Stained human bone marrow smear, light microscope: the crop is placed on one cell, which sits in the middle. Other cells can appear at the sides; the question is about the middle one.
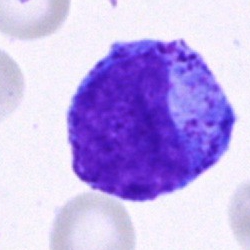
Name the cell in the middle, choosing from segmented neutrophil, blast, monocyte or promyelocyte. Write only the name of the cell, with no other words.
promyelocyte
